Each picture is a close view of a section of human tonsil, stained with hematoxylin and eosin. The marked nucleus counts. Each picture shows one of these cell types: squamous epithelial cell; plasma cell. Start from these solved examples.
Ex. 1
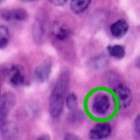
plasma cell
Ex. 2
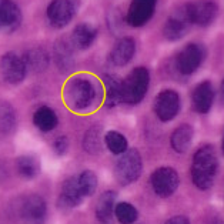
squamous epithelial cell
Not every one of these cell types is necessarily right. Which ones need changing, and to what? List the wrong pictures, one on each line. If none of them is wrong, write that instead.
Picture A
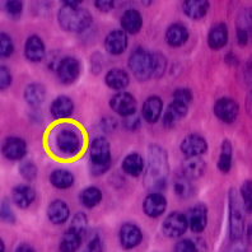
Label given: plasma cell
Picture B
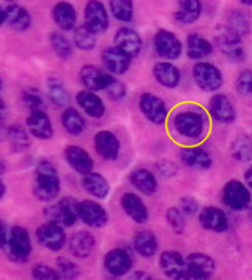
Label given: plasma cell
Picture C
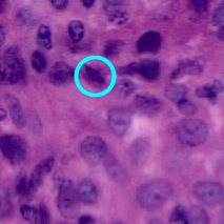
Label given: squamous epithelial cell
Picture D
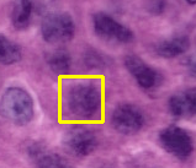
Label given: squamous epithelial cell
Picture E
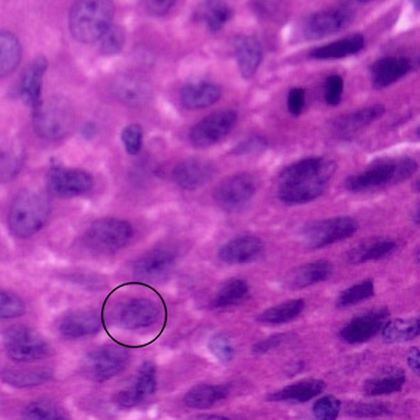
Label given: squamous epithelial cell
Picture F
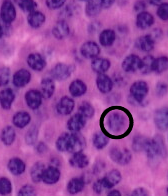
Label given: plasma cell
No label is wrong.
